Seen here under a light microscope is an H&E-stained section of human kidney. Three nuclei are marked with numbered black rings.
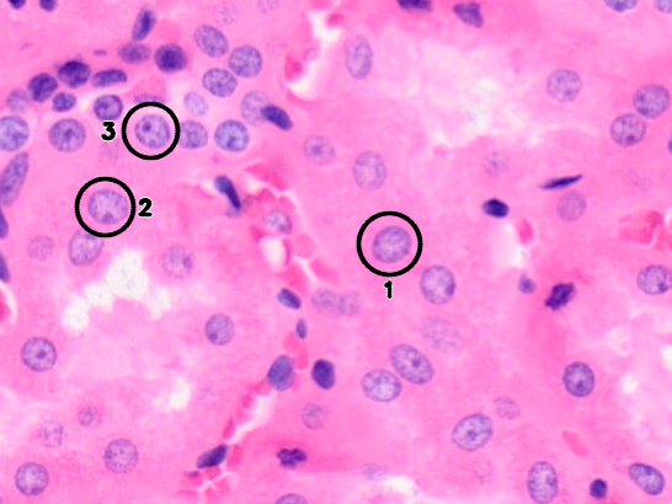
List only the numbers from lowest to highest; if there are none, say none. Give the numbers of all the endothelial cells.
none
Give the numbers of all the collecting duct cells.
3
